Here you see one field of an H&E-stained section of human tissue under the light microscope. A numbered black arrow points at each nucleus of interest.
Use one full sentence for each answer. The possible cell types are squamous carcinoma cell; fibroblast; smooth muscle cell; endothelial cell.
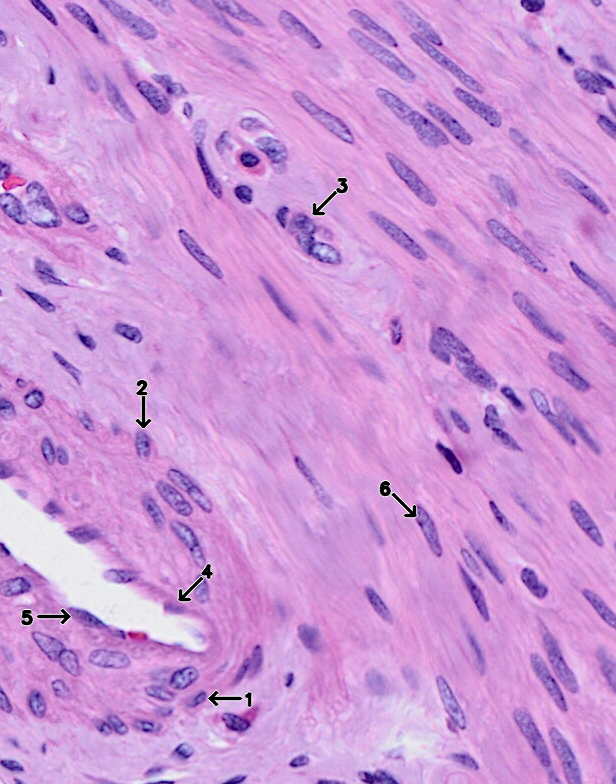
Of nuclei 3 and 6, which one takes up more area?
Number 6 is larger; its area is about 2 times that of number 3.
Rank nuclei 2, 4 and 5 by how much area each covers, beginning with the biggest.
Going from the biggest nucleus down to the smallest gives 5, 2, 4.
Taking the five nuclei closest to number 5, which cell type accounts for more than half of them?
Most of the five nuclei nearest to number 5 are those of smooth muscle cells.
